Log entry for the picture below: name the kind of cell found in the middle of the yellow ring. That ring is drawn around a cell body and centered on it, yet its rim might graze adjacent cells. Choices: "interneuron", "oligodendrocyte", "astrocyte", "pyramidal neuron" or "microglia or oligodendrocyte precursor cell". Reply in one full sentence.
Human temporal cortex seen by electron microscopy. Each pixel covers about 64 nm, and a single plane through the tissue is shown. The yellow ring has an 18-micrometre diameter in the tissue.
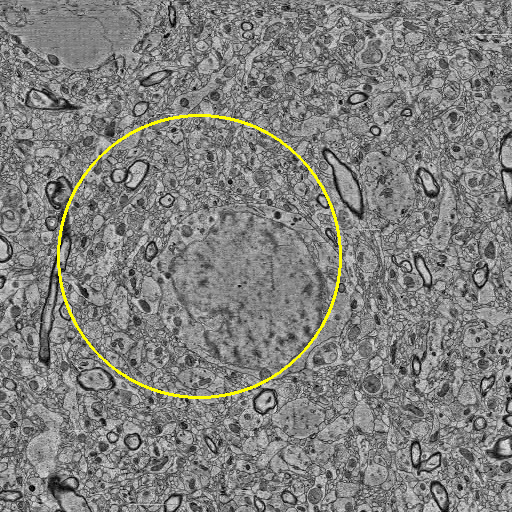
The cell in the middle of the yellow ring in this picture is an interneuron.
